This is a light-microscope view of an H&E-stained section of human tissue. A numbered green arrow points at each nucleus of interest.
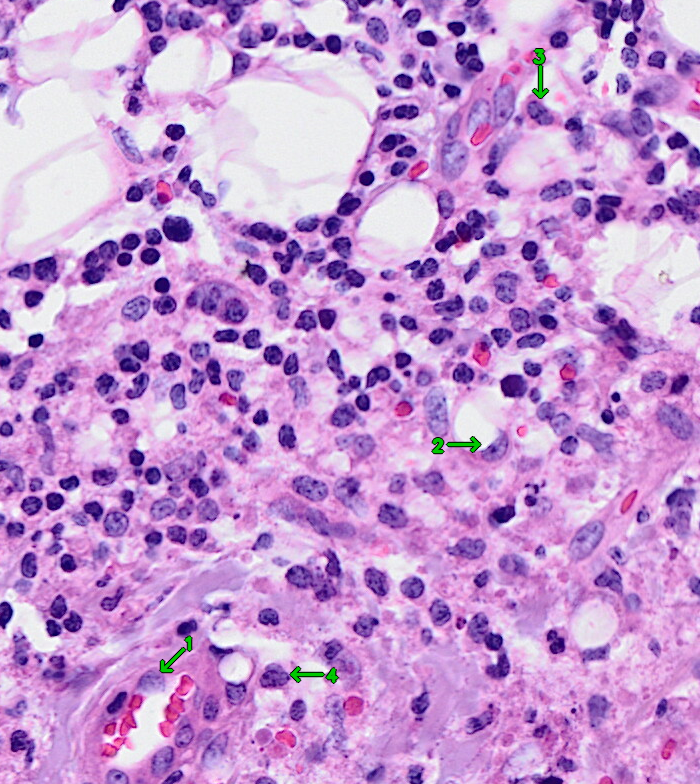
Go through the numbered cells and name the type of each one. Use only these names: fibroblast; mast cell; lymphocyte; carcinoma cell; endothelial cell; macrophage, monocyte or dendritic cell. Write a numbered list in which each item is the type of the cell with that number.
1. endothelial cell
2. endothelial cell
3. mast cell
4. macrophage, monocyte or dendritic cell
